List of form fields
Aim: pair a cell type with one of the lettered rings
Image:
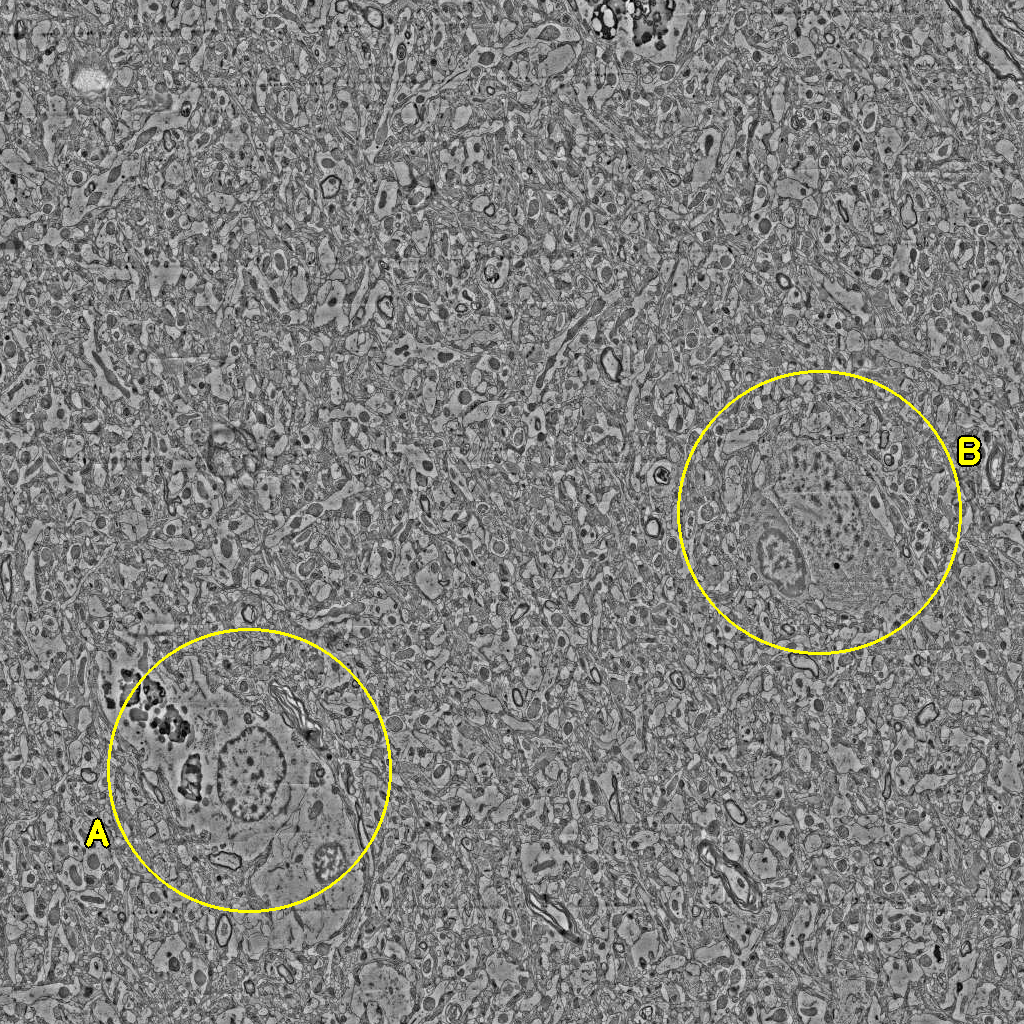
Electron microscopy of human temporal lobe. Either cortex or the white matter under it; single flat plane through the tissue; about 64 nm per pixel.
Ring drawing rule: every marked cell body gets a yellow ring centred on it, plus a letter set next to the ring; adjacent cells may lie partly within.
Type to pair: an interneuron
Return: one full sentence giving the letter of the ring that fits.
Ring B is the one whose central cell body is that kind of cell.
